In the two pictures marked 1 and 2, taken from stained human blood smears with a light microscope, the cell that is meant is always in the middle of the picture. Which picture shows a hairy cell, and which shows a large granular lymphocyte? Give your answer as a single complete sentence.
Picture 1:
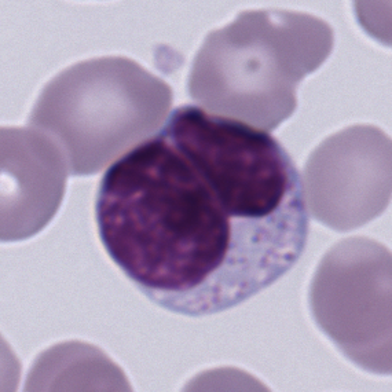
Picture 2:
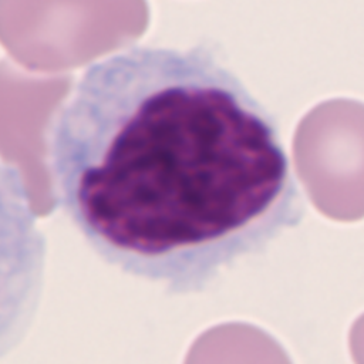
In picture 1 the cell is a large granular lymphocyte; in picture 2, a hairy cell.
